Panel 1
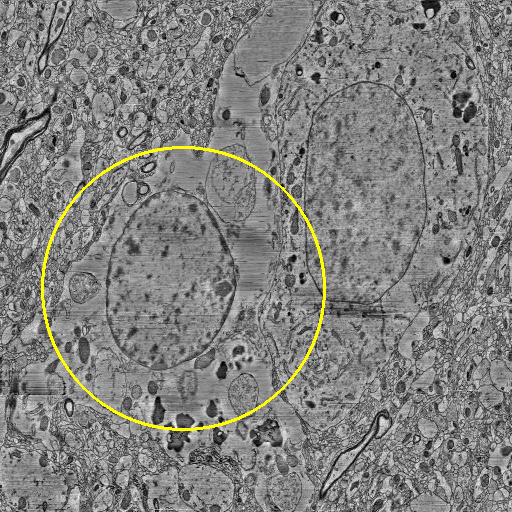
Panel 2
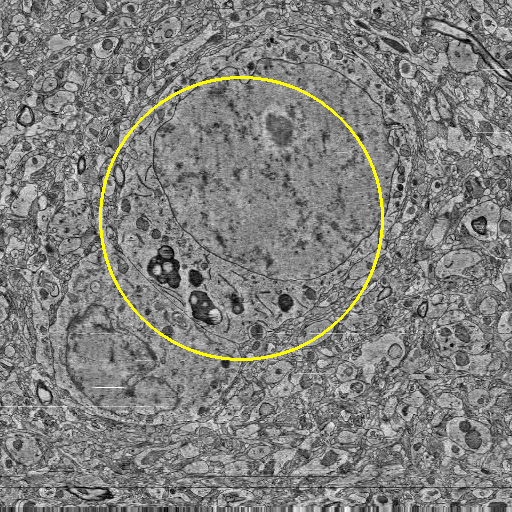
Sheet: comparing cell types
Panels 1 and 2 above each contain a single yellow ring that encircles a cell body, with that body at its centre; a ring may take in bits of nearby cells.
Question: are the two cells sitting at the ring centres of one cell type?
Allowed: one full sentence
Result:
No, the ring-centre cells in Panel 1 and Panel 2 are of two types.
